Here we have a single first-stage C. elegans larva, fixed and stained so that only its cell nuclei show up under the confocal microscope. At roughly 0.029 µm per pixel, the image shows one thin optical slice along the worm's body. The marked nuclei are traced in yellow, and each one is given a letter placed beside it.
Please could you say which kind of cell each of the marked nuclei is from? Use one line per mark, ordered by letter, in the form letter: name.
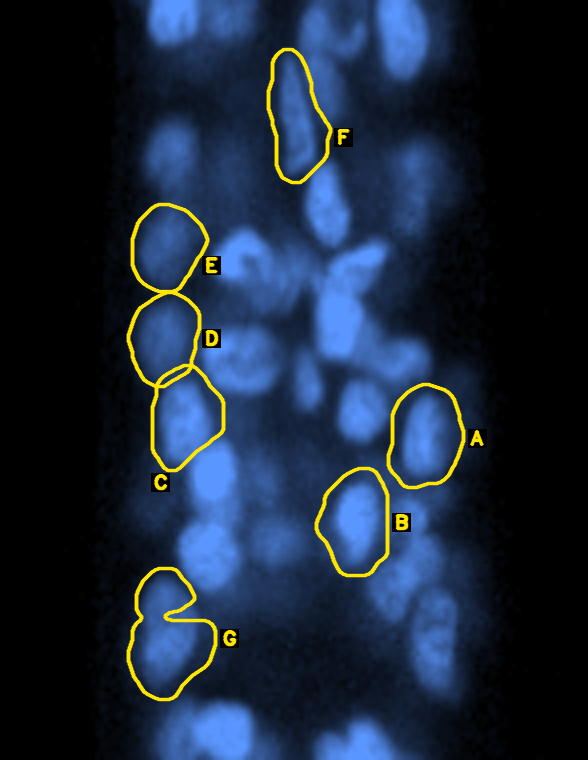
A: neuron
B: neuron
C: neuron
D: hypodermal cell (hyp)
E: hypodermal cell (hyp)
F: pharyngeal muscle cell
G: body wall muscle cell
